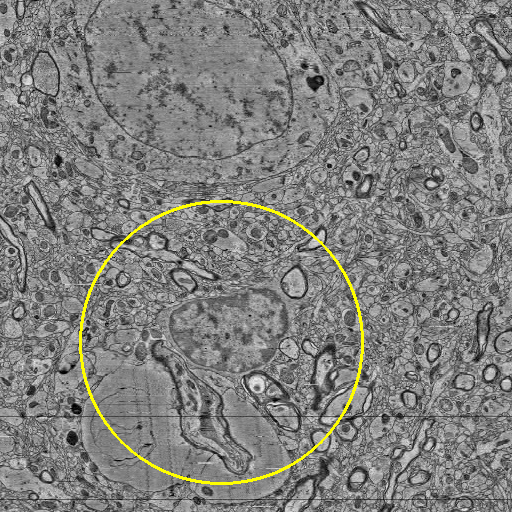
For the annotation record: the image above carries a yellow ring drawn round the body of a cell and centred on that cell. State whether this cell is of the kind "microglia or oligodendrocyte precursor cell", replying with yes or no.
No, this cell is of another kind.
